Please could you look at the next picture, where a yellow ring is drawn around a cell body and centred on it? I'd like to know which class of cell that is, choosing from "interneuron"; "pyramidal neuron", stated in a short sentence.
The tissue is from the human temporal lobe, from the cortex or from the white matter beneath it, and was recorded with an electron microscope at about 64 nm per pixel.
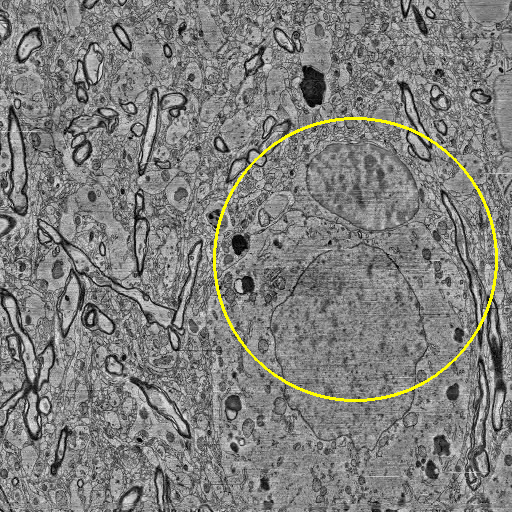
The ring's centre lies on a pyramidal neuron.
